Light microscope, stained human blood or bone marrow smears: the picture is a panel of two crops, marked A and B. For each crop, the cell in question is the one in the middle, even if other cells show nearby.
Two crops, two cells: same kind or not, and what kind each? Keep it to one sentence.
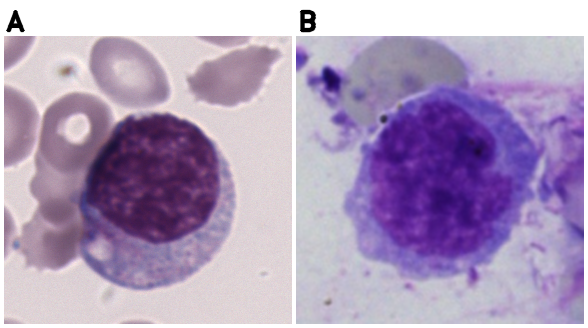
No, crop A and crop B show a myelocyte and a monocyte respectively.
